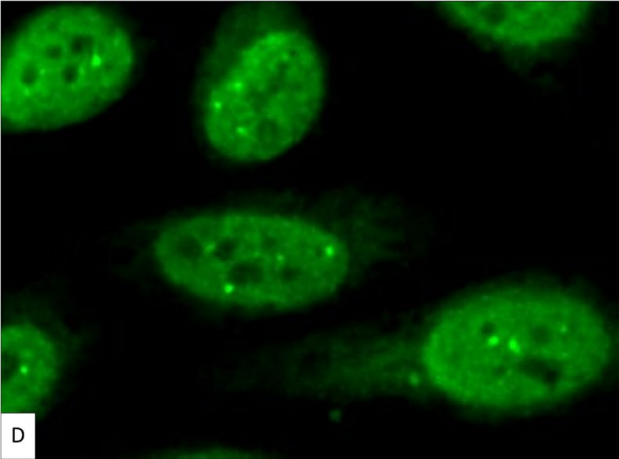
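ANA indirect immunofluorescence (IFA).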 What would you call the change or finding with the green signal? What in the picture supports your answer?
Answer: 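Speckled pattern. Green fluorescence fills the oval nuclei. Bright small green dots are scattered within the nuclei. Dark round areas within the nuclei are spared.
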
